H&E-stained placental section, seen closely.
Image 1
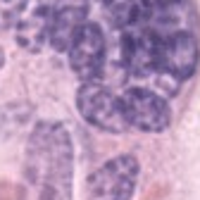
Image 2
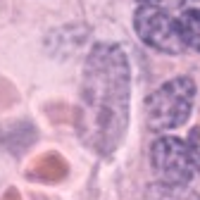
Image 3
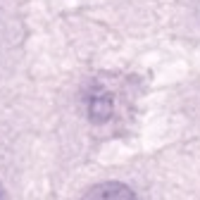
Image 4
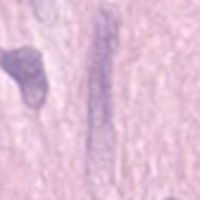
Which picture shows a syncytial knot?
Picture 1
